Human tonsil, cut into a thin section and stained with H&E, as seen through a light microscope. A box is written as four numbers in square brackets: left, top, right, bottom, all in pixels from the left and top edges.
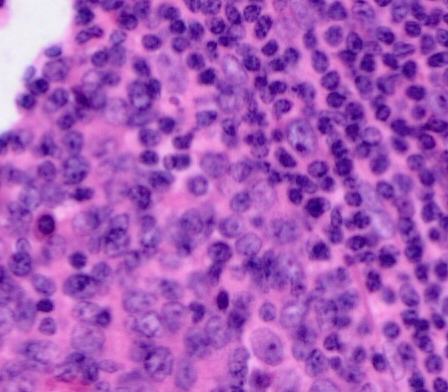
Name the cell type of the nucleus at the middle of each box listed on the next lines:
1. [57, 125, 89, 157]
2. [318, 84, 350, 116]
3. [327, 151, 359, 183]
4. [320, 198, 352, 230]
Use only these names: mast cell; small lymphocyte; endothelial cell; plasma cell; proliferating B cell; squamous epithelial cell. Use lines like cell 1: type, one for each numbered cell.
cell 1: proliferating B cell
cell 2: small lymphocyte
cell 3: small lymphocyte
cell 4: small lymphocyte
